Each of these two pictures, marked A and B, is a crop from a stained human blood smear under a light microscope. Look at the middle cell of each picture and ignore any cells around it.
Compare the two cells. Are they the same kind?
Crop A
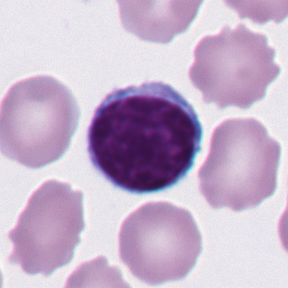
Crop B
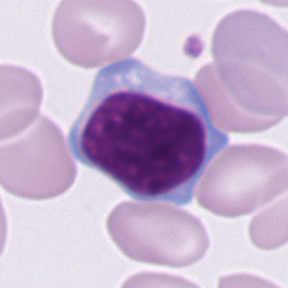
yes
